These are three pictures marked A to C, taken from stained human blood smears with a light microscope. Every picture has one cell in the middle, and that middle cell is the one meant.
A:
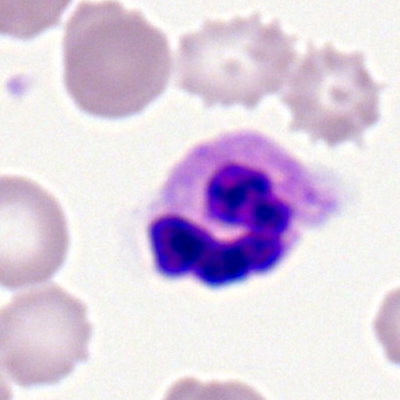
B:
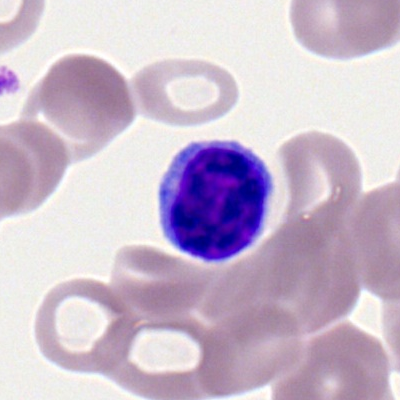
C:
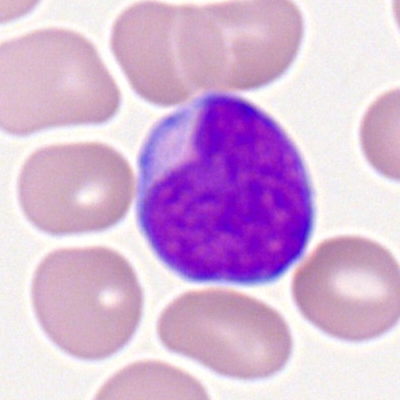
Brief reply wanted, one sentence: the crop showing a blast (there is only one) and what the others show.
Here crop C shows a blast, while crop A is a neutrophil and crop B is a lymphocyte.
